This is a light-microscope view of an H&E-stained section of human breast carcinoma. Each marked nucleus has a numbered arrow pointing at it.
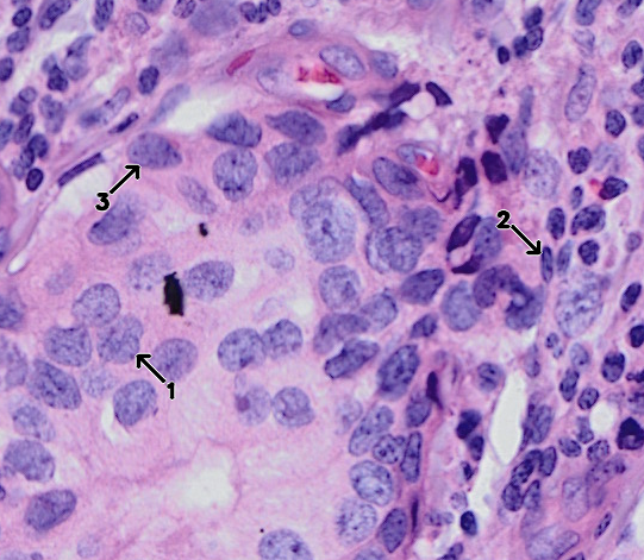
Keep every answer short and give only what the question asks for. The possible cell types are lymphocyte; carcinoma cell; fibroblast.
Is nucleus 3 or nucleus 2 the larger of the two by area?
3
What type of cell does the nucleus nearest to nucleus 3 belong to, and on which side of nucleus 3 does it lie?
a lymphocyte; above and to the left of nucleus 3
